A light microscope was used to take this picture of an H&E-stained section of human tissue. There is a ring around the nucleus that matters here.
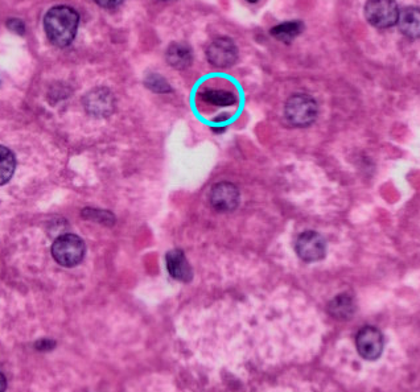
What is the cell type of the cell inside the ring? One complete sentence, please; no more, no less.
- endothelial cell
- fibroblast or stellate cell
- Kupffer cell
As far as its identity is concerned, the cell inside the ring is a fibroblast or stellate cell.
